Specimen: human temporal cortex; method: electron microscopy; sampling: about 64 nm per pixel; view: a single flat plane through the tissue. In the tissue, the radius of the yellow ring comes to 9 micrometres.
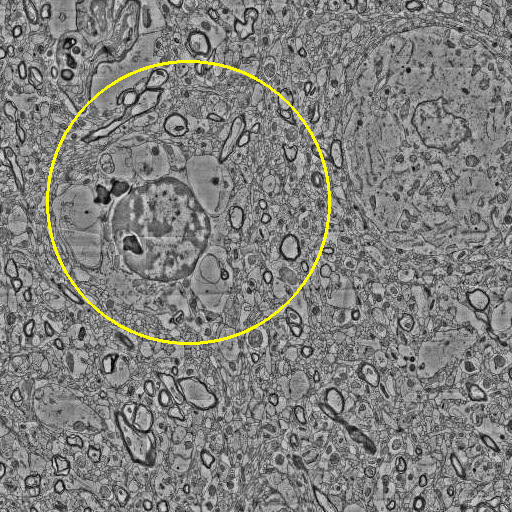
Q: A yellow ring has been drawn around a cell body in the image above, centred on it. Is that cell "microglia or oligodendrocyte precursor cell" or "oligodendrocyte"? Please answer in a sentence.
The ring surrounds the cell body of a microglial cell or oligodendrocyte precursor cell.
